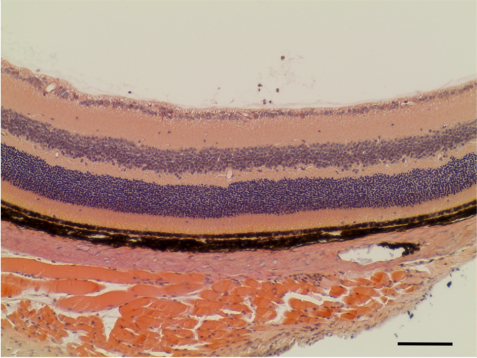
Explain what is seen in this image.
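This section shows the neural retina with its layers regular and unbroken. A thin row of ganglion cells lines the inner surface, followed by a broad pink inner plexiform layer. Next comes a purple inner nuclear layer, then a thin pink outer plexiform layer. Beyond this lies a thick, evenly packed outer nuclear layer of dark purple nuclei, followed by pale photoreceptor segments. The retina rests on a continuous black band of pigmented epithelium, with red-staining muscle beneath.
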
